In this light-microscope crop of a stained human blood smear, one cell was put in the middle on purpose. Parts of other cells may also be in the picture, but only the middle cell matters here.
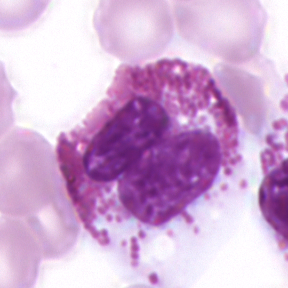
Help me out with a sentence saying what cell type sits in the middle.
The cell positioned in the middle of the field is an eosinophil.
